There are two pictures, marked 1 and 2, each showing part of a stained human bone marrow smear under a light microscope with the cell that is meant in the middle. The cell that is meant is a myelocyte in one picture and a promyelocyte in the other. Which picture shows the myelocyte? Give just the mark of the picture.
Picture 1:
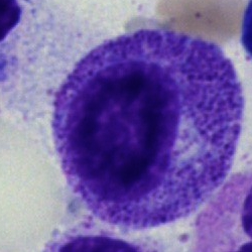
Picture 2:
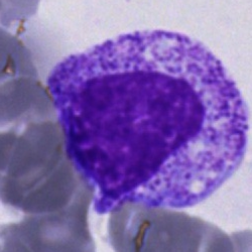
1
